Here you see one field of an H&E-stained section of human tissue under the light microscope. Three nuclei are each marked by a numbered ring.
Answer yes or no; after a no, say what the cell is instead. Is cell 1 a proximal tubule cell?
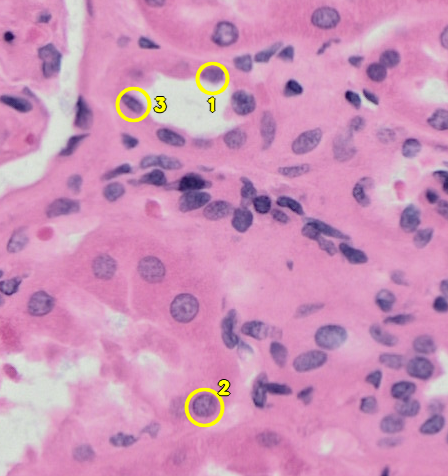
No, it is a loop of Henle or distal tubule cell.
